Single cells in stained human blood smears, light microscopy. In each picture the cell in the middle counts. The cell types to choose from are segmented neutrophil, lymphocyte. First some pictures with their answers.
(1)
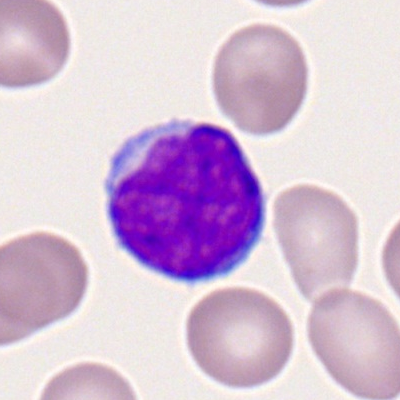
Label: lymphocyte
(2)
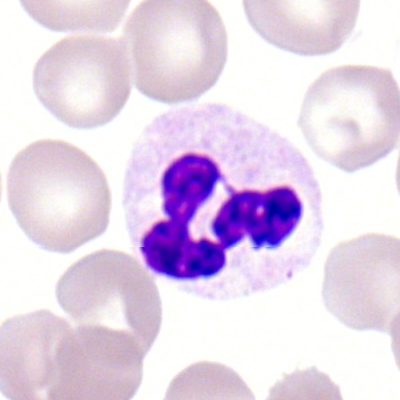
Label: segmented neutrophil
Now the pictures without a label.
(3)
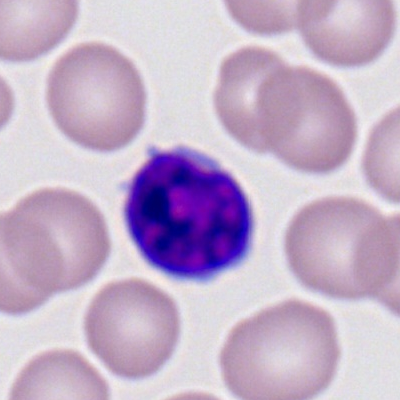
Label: lymphocyte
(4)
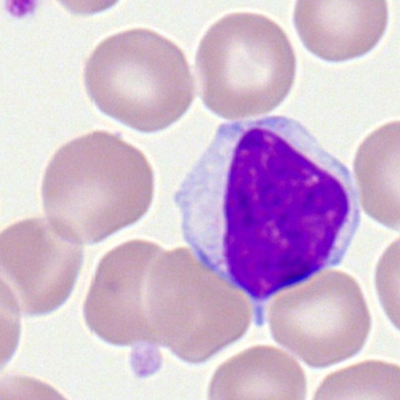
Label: lymphocyte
